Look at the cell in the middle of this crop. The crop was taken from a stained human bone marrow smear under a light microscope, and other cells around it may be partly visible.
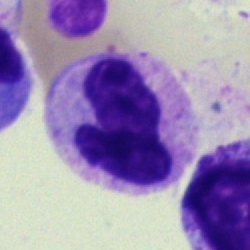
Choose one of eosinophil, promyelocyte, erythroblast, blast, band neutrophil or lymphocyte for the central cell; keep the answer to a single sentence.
In the centre of this crop there is a band neutrophil.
